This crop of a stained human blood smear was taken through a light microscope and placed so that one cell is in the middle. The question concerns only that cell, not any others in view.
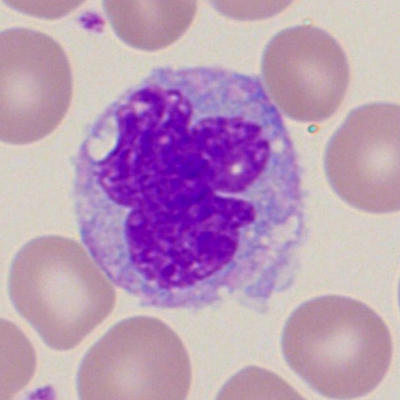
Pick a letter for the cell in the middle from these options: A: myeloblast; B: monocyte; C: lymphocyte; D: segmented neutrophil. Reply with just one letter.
B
